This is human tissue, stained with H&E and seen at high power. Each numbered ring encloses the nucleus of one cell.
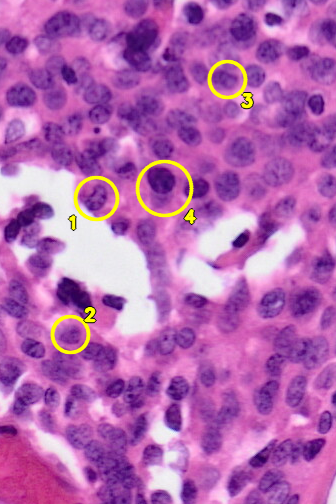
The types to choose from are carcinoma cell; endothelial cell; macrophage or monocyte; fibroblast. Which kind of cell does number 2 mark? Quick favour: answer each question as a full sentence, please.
The nucleus marked 2 is the nucleus of a carcinoma cell.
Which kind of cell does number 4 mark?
Corresponding to a carcinoma cell is the cell labelled 4.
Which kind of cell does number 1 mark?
Cell 1, as marked in the section, is a macrophage or monocyte.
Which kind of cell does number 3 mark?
Marked with the number 3, this cell is a carcinoma cell.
